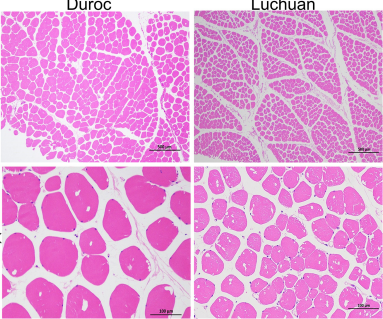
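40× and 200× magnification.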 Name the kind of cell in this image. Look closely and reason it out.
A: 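Pink-stained polygonal profiles are packed closely together. The profiles are grouped into bundles separated by pale strands of connective tissue. Small dark nuclei sit at the edges of the profiles. On this evidence: muscle fibers.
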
